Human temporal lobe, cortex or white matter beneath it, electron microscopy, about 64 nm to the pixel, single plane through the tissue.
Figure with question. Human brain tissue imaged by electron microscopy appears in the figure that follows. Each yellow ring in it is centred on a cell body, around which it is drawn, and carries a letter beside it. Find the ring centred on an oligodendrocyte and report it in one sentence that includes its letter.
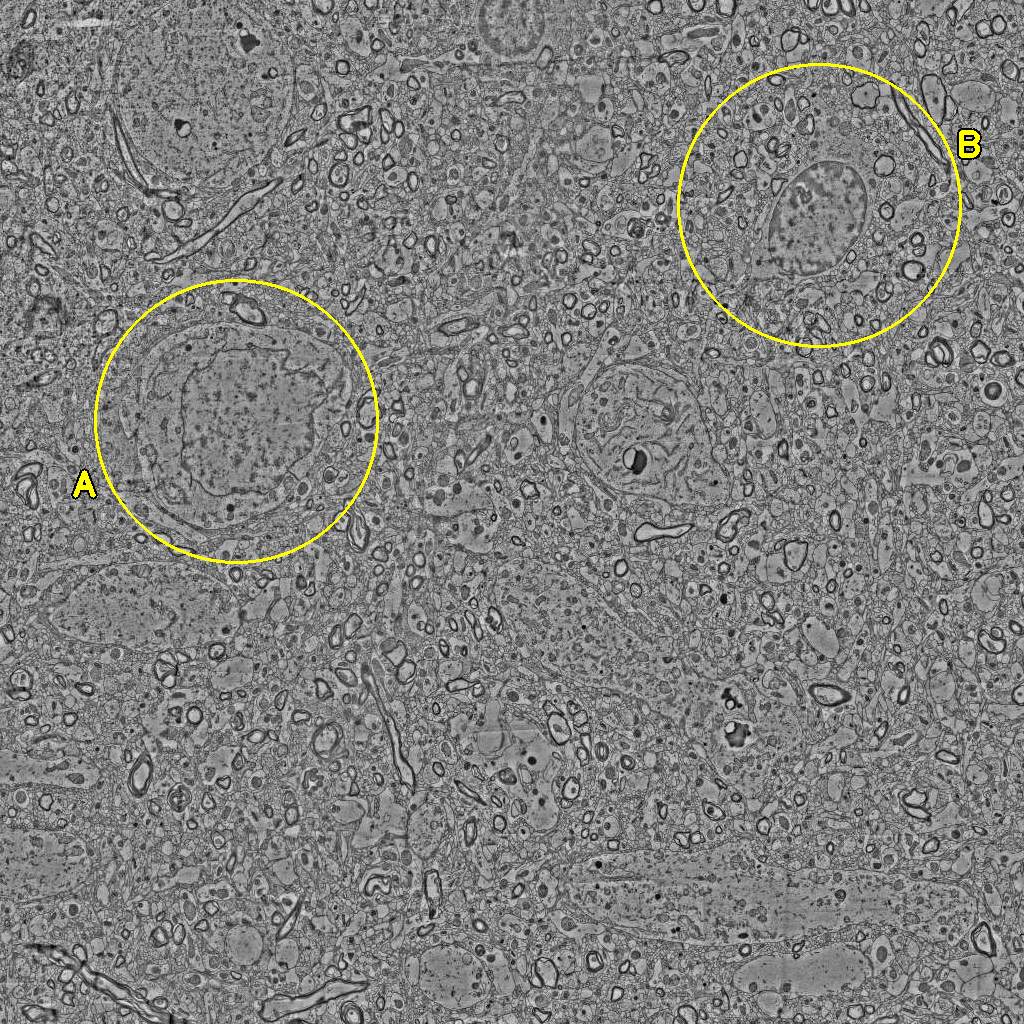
Ring B is the one centred on it.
